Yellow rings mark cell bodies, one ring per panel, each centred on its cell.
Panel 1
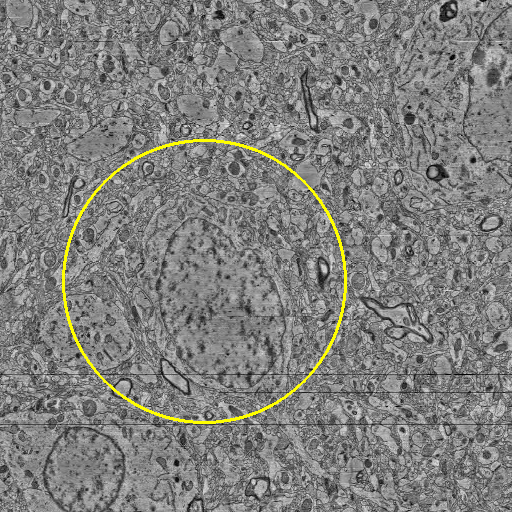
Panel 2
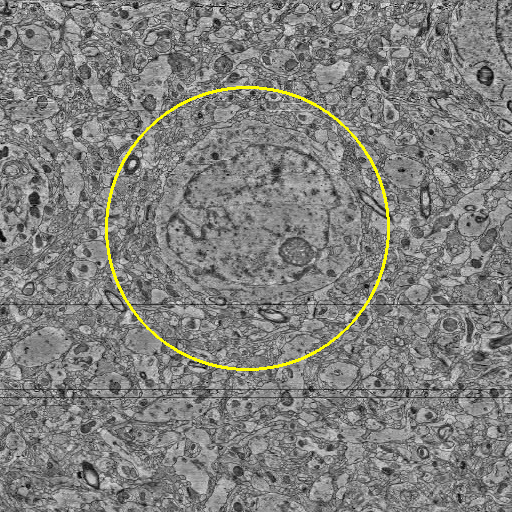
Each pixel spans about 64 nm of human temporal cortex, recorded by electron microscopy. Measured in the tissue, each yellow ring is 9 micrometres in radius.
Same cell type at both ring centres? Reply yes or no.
yes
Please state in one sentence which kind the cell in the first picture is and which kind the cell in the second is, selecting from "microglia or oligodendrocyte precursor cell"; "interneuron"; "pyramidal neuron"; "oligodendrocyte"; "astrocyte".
Each cell, in the first picture and the second, is an interneuron.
